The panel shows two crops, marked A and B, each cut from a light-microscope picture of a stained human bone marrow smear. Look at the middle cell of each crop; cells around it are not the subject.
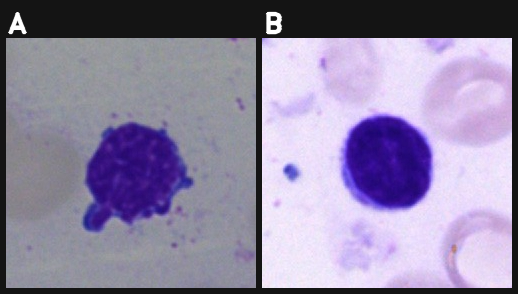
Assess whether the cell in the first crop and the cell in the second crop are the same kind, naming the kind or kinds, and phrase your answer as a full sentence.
Yes, lymphocytes occupy the centre of both crops.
